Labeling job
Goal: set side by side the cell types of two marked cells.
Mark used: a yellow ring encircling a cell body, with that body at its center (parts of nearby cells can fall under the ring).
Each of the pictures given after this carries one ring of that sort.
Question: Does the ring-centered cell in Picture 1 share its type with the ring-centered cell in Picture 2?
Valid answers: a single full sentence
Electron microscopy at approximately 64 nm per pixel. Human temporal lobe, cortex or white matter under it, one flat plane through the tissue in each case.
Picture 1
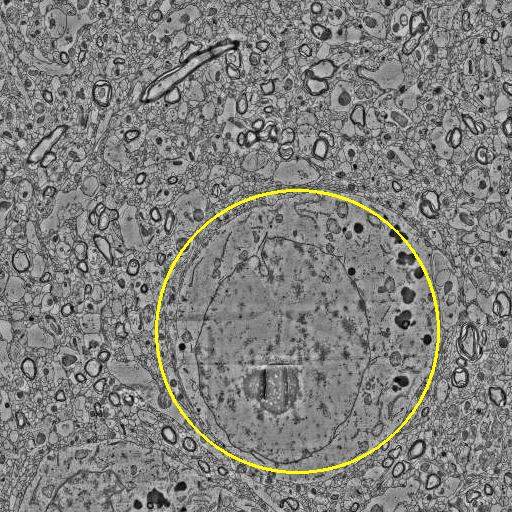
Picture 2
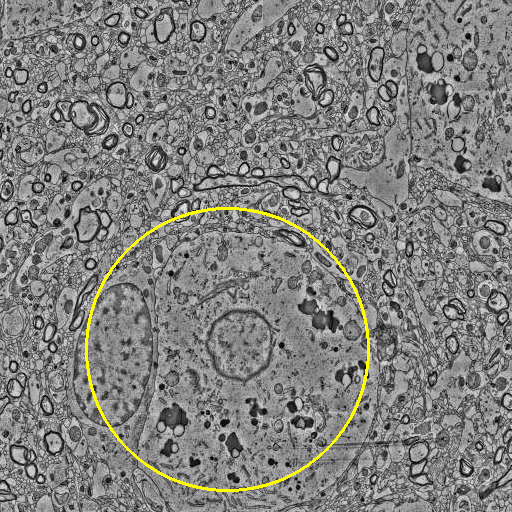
Yes, in Pictures 1 and 2 the cells at the ring centers share one type.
